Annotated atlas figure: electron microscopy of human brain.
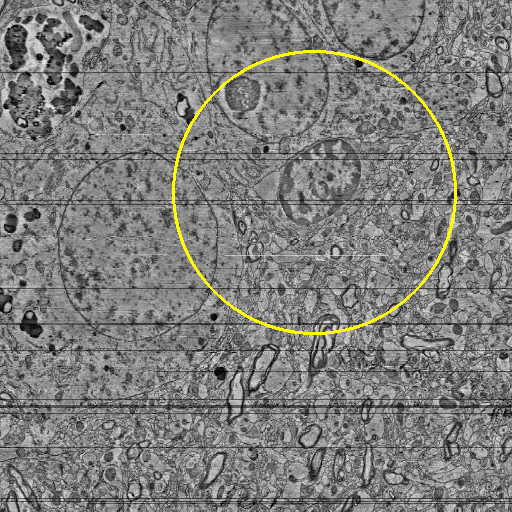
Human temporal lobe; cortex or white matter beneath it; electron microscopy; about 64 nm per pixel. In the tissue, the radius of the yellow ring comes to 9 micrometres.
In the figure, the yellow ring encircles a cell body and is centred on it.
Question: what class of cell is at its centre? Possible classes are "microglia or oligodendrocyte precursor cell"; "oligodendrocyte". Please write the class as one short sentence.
The yellow ring is drawn around a microglial cell or oligodendrocyte precursor cell.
